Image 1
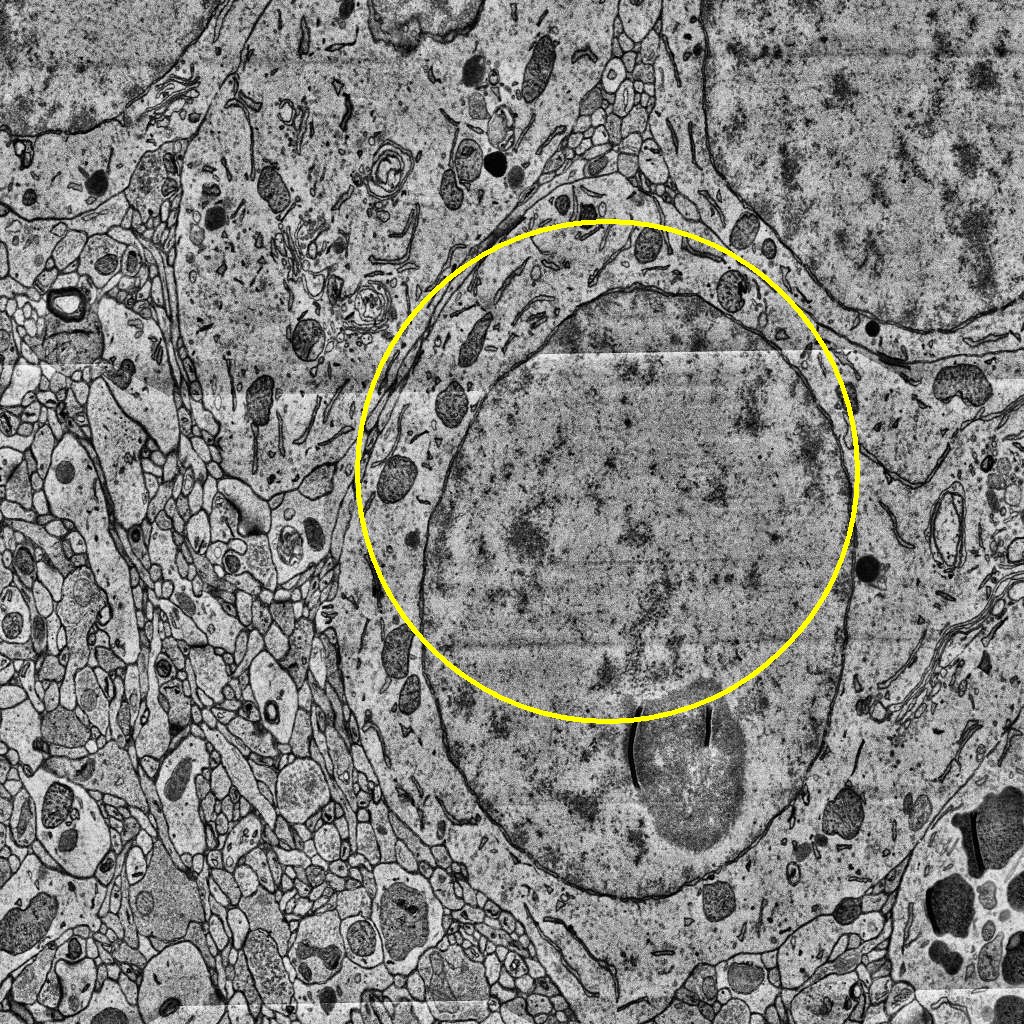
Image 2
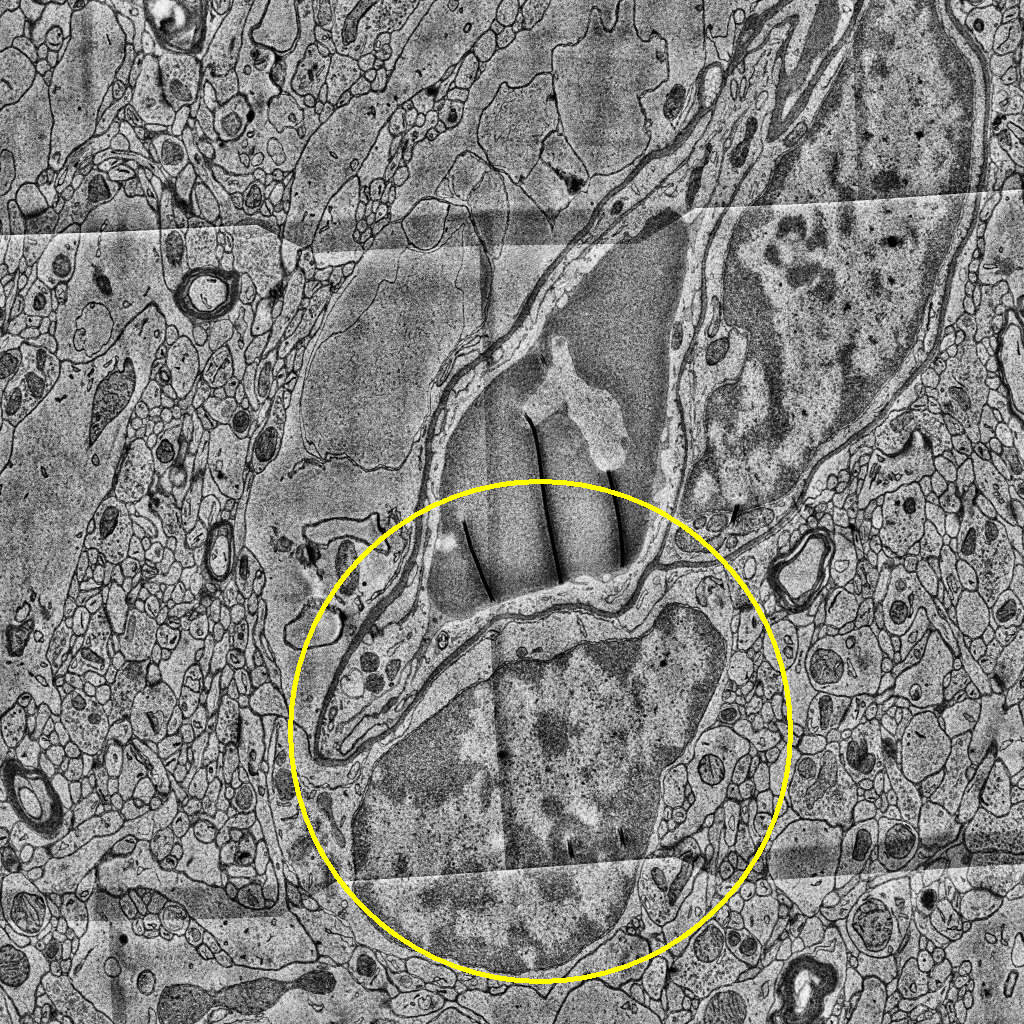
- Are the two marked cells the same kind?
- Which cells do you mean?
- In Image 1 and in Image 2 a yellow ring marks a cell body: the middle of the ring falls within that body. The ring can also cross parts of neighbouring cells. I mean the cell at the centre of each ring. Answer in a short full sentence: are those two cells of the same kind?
No, the cells are of two kinds.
